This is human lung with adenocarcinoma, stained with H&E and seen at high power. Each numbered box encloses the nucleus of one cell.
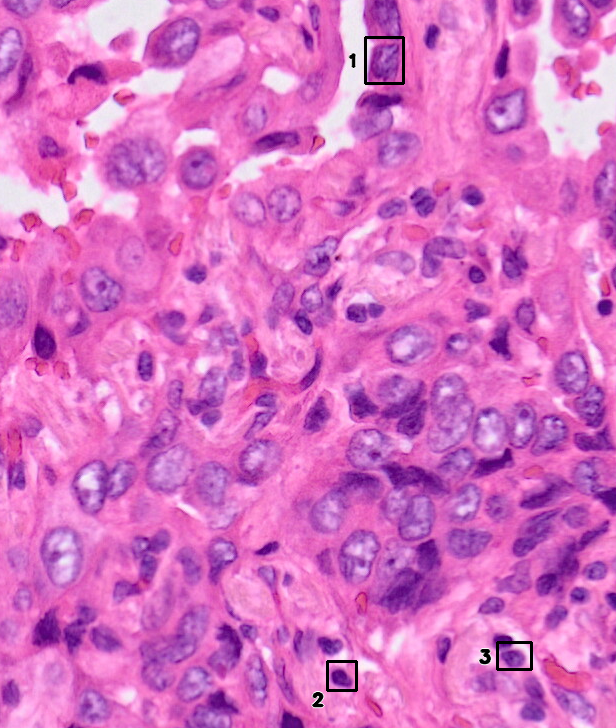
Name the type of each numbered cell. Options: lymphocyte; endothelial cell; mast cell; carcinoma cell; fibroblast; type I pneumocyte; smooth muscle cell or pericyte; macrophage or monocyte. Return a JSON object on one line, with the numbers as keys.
{"1": "carcinoma cell", "2": "lymphocyte", "3": "lymphocyte"}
